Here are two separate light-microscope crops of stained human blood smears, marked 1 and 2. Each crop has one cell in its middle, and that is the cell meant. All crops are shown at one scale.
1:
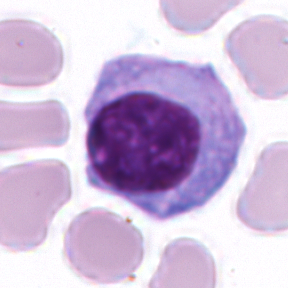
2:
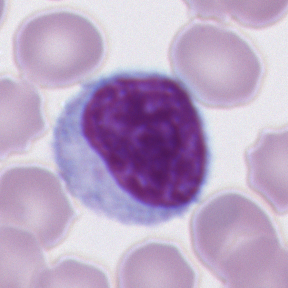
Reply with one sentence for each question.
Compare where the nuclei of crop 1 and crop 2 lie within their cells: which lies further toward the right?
Seen within its cell, the nucleus in crop 2 lies further toward the right.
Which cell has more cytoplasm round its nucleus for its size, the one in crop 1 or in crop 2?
The nucleus fills less of the cell in crop 1 than in crop 2.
